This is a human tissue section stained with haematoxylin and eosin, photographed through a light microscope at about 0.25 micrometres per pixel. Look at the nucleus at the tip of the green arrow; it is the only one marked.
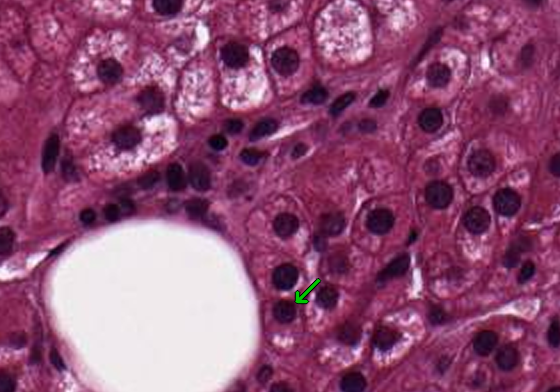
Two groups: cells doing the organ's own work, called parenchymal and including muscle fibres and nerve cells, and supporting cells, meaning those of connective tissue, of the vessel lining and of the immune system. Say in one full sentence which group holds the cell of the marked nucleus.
The marked nucleus is that of a cell of the parenchyma, namely an adrenal cortical cell.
